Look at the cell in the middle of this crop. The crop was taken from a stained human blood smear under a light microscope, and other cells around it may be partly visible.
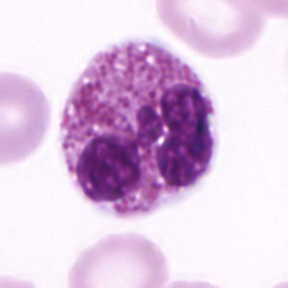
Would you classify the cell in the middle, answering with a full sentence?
The crop centres on a single cell, and that cell is an eosinophil.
